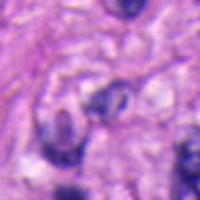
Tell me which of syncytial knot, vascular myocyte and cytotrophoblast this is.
The picture shows a vascular myocyte.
